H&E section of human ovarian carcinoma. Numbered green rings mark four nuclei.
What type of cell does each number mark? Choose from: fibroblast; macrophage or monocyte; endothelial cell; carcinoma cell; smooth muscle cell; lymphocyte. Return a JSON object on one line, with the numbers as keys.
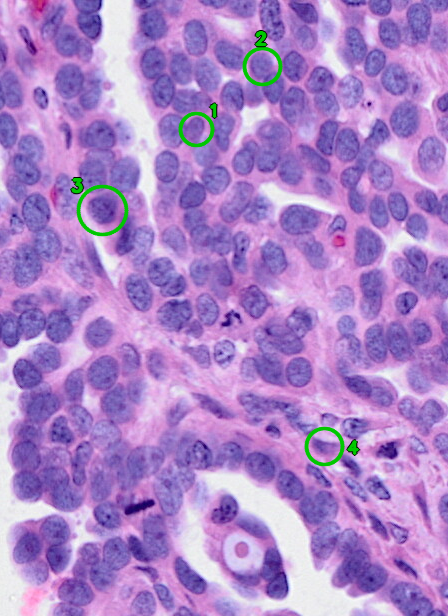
{"1": "carcinoma cell", "2": "carcinoma cell", "3": "carcinoma cell", "4": "fibroblast"}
